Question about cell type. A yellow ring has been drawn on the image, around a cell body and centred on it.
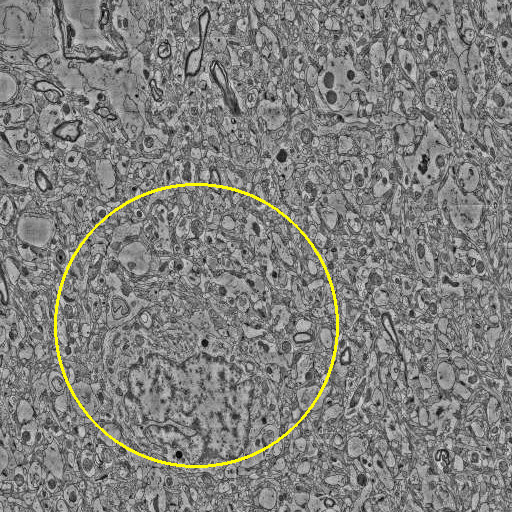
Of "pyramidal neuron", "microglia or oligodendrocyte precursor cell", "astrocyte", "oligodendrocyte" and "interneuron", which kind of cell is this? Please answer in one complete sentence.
At the centre of the ring lies an oligodendrocyte.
